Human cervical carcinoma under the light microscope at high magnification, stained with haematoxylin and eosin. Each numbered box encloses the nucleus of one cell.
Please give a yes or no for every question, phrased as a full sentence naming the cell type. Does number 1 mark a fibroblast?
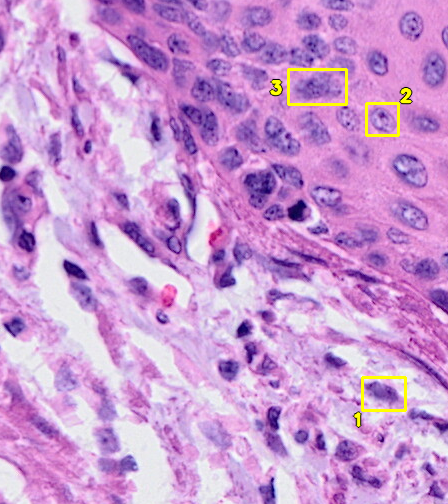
Yes, to put it simply, cell number 1 is a fibroblast.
